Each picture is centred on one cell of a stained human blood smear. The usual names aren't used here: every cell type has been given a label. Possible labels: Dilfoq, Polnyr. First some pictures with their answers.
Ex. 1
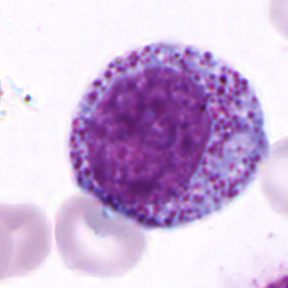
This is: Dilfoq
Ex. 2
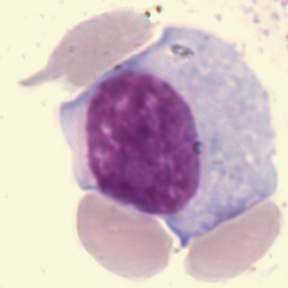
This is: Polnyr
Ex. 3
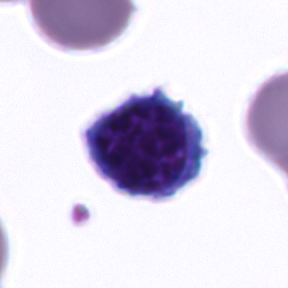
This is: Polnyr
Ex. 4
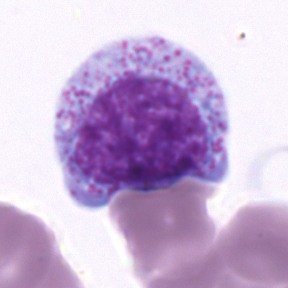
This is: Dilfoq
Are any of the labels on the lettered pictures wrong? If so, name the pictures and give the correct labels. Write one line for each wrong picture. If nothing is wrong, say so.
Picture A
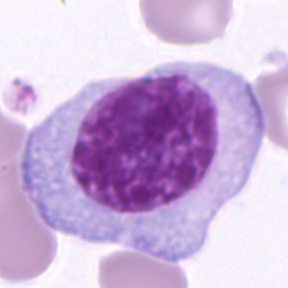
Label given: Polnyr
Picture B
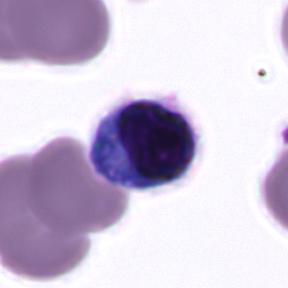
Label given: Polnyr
No label is wrong.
